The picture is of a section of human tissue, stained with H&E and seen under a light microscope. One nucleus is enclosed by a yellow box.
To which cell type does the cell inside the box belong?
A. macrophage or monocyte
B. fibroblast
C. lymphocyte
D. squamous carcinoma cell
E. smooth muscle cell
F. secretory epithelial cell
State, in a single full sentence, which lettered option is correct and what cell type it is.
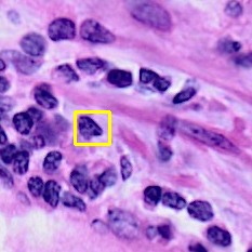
Here the right answer is C, with the cell inside the box being a lymphocyte.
